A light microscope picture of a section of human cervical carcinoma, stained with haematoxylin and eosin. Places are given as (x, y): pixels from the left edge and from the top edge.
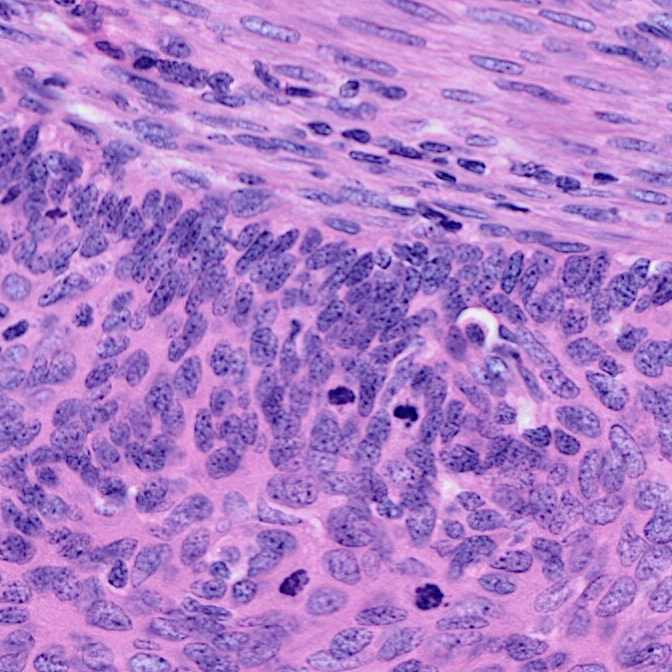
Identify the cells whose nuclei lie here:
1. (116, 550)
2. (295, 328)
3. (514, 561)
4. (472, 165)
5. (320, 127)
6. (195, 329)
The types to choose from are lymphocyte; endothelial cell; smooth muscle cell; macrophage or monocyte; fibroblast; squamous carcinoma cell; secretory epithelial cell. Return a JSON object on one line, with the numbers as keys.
{"1": "squamous carcinoma cell", "2": "squamous carcinoma cell", "3": "squamous carcinoma cell", "4": "lymphocyte", "5": "lymphocyte", "6": "squamous carcinoma cell"}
